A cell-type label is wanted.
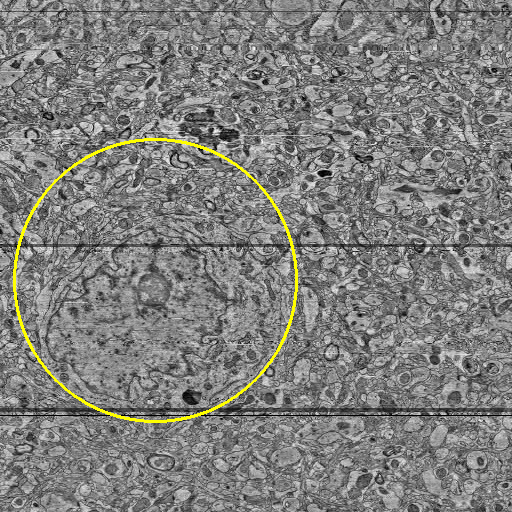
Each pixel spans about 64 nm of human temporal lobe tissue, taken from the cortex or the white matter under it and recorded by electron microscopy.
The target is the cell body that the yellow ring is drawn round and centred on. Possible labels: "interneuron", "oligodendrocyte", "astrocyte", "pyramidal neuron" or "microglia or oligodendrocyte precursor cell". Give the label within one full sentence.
Of the labels offered, the cell in the middle of the yellow ring is an interneuron.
